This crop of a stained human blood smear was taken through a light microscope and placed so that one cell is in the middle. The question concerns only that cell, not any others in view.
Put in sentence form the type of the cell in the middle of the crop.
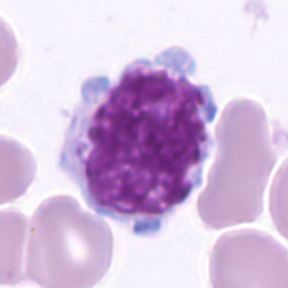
The cell in the middle of the field of view is a plasma cell.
